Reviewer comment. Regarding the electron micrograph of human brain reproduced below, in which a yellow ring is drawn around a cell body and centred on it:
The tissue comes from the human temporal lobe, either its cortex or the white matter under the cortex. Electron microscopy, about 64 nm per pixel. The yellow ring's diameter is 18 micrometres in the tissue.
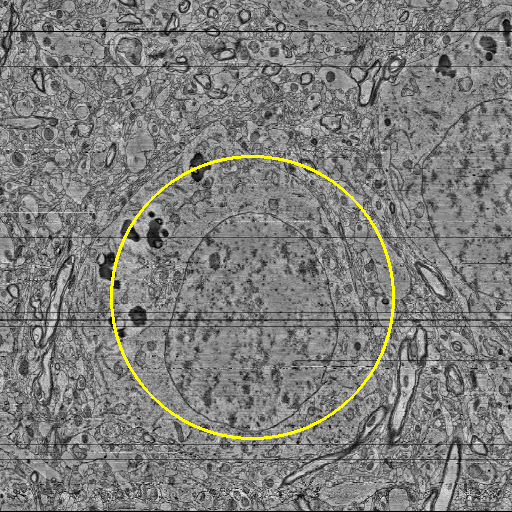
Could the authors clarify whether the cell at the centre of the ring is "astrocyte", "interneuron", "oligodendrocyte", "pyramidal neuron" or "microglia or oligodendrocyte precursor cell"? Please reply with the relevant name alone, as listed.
pyramidal neuron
